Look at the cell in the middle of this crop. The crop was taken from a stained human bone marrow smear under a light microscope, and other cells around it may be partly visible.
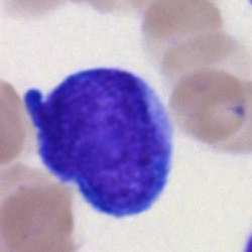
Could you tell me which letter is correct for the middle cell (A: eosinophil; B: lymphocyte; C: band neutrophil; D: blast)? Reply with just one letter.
D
